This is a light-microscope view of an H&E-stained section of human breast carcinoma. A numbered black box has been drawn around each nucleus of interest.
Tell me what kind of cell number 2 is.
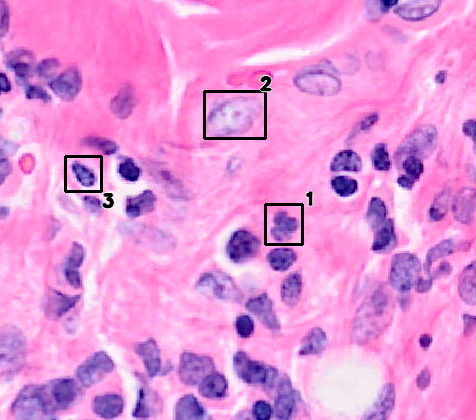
endothelial cell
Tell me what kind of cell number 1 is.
lymphocyte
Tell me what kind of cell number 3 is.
lymphocyte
